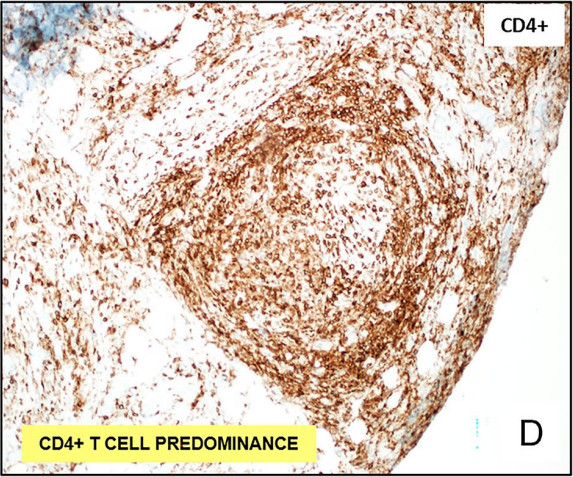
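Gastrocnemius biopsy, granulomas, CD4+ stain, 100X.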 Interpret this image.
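A rounded, densely cellular aggregate in which most cells are stained brown against a pale background. Outside the nodule, brown-stained cells are scattered more loosely through the surrounding tissue, which contains clear, rounded fat cells, especially at the lower right and upper left. Individual cells are small, with the brown stain outlining them so that nuclear detail is largely hidden. A patch of blue-grey material lies at the upper left corner.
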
